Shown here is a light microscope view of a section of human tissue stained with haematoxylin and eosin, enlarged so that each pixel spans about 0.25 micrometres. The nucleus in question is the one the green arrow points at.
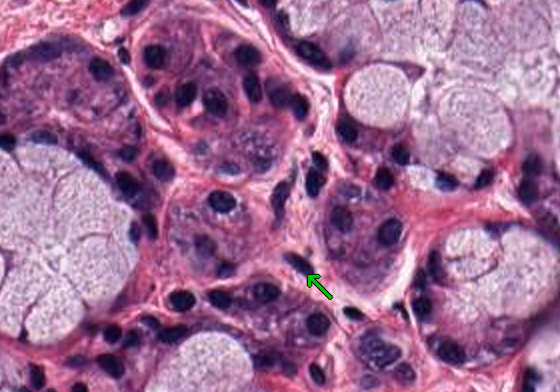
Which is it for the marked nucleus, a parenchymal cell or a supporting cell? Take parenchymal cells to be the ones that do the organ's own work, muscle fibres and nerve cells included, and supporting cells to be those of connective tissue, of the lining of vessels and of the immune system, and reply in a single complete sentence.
The marked nucleus is counted as that of a supporting cell.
